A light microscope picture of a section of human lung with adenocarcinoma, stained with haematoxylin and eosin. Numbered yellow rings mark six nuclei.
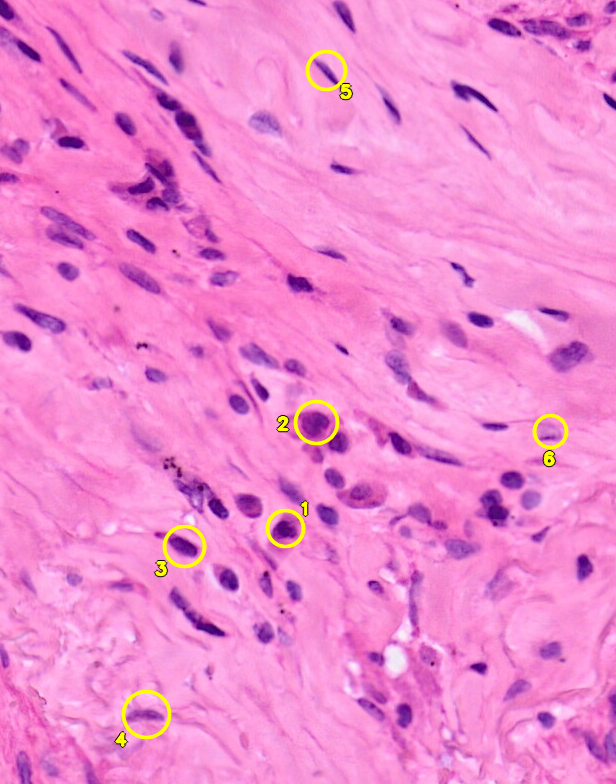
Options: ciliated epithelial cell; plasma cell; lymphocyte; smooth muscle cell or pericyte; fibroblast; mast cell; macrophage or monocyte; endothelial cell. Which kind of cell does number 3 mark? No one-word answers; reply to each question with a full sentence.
Cell 3 is classified as a plasma cell.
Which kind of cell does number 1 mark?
Corresponding to a plasma cell is the cell labelled 1.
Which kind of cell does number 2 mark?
Marked with the number 2, this cell is a plasma cell.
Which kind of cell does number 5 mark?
Cell 5 in the field of view is a fibroblast.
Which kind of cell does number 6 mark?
The nucleus labelled 6 belongs to a fibroblast.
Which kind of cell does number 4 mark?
The cell to which the number 4 is assigned is a fibroblast.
